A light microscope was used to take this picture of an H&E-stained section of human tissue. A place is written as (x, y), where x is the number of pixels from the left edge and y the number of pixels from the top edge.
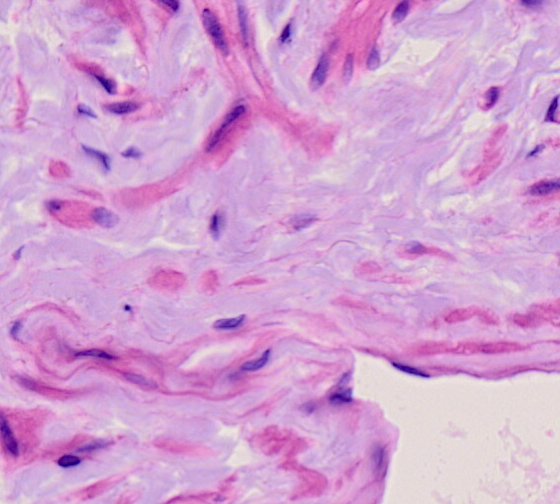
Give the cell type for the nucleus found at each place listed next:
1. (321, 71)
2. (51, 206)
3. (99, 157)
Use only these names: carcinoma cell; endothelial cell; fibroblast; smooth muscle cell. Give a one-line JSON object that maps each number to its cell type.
{"1": "smooth muscle cell", "2": "smooth muscle cell", "3": "fibroblast"}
